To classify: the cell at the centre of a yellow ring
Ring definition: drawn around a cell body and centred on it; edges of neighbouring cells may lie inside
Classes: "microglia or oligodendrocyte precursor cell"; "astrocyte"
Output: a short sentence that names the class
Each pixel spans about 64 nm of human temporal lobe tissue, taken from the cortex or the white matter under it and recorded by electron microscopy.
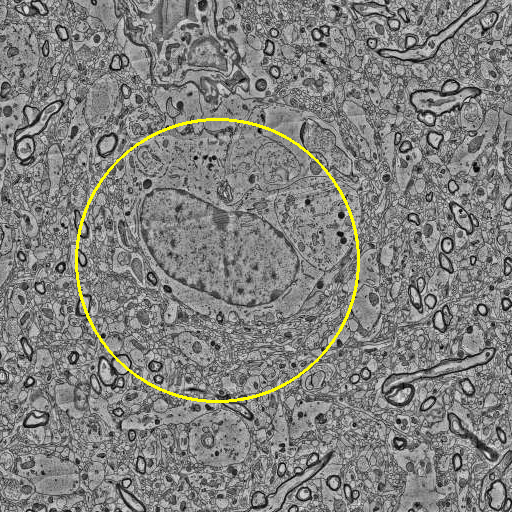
The ringed cell is a microglial cell or oligodendrocyte precursor cell.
